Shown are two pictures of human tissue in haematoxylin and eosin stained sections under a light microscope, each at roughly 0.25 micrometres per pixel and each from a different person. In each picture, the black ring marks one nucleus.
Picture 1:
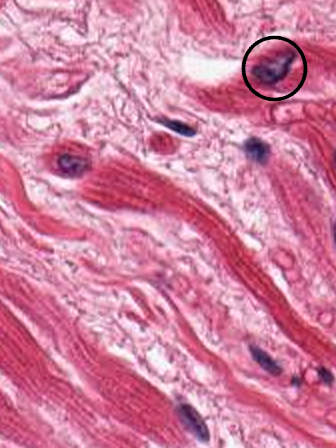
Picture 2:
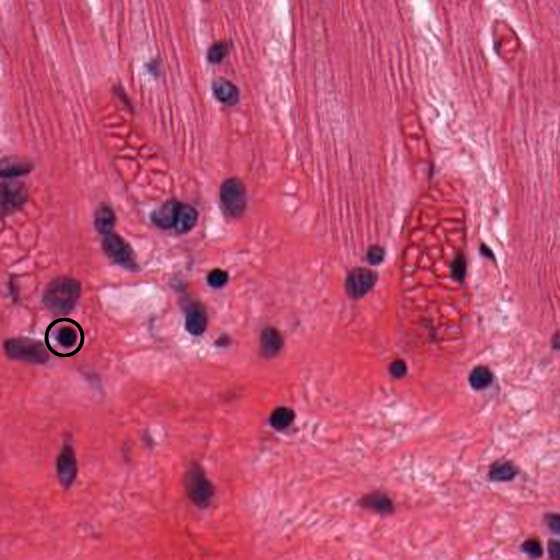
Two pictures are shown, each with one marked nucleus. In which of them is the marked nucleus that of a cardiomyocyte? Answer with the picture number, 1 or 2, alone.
1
